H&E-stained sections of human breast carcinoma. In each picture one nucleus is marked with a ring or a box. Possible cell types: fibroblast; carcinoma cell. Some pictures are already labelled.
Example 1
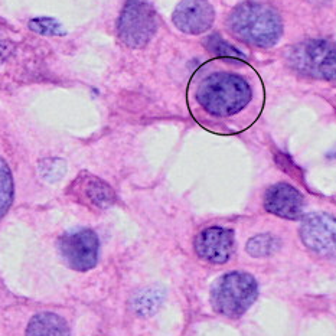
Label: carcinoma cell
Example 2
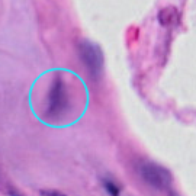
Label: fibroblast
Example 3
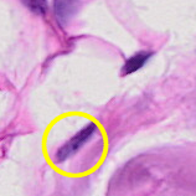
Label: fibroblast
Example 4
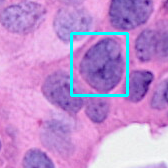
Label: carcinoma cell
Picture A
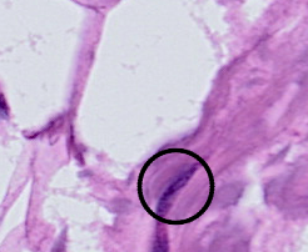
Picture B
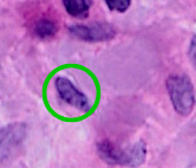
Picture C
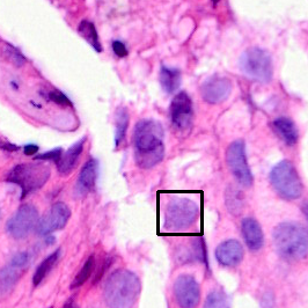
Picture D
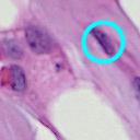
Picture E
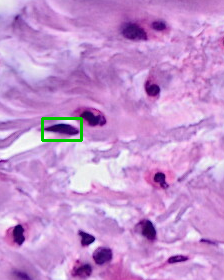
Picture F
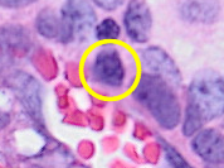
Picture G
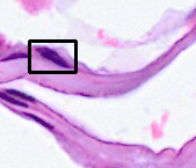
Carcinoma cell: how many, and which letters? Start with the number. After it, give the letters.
2: C, F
